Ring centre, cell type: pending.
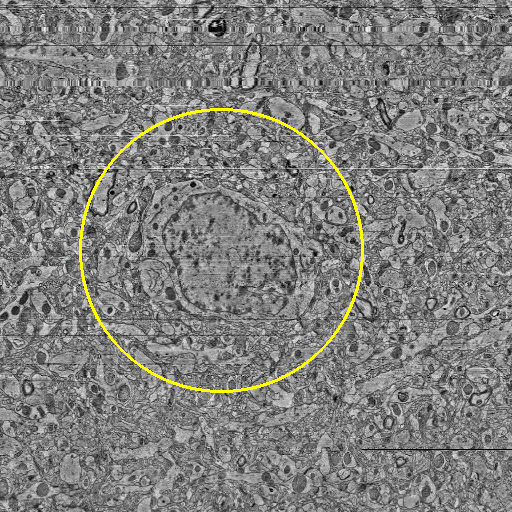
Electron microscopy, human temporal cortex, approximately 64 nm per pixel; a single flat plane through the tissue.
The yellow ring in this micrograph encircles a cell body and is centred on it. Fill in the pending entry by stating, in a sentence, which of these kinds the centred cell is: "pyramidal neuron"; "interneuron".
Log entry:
The centred cell is recorded as an interneuron.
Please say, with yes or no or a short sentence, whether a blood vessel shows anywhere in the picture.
No, a blood vessel is absent from this picture.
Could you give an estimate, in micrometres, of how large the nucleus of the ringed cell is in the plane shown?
Roughly 9 micrometres by 8 micrometres, in this plane.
